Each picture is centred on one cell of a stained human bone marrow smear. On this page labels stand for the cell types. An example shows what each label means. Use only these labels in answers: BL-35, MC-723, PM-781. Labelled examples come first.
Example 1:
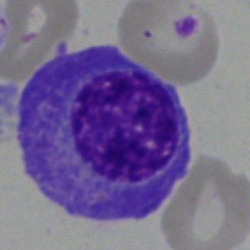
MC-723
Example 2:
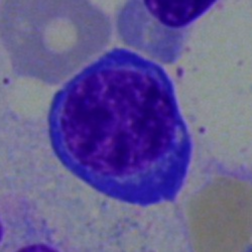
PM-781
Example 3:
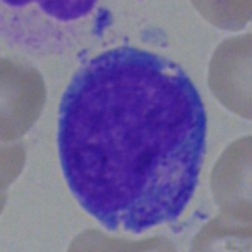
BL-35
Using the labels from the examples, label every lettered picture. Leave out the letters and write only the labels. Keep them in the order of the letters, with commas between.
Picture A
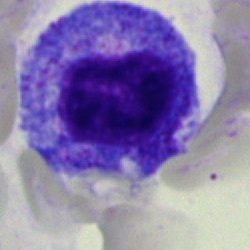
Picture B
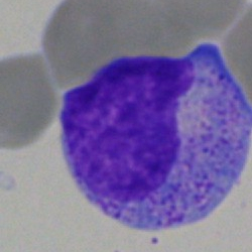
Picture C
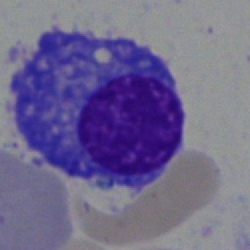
BL-35, BL-35, MC-723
